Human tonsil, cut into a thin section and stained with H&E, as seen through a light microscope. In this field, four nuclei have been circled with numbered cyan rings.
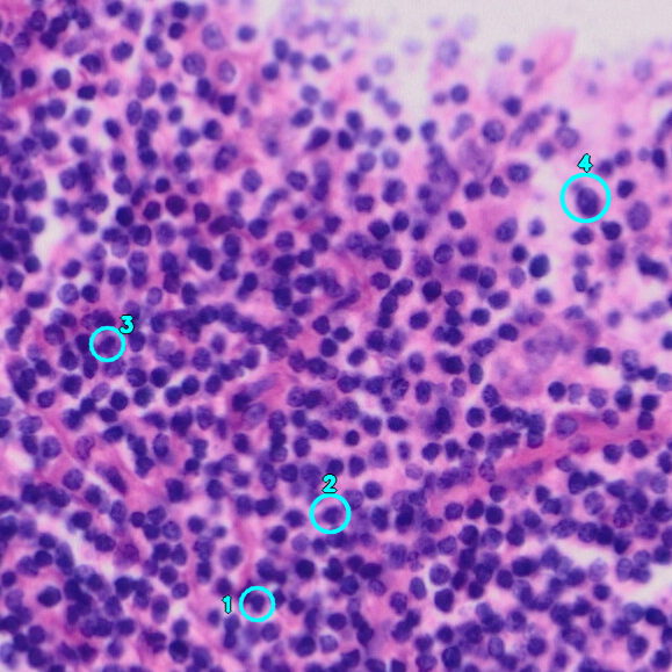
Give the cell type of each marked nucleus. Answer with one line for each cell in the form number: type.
1: small lymphocyte
2: small lymphocyte
3: small lymphocyte
4: proliferating B cell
